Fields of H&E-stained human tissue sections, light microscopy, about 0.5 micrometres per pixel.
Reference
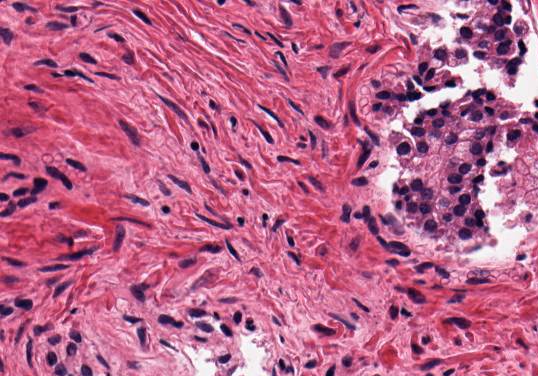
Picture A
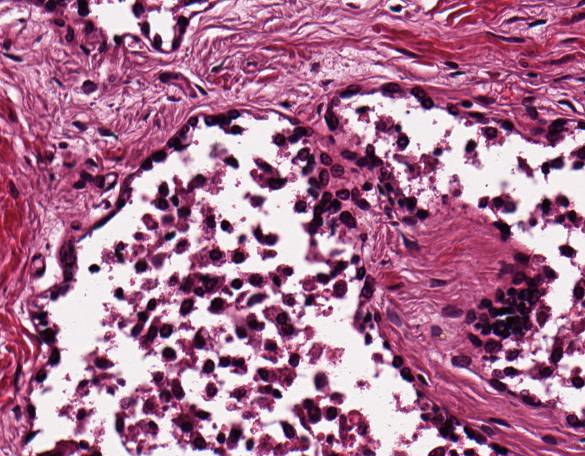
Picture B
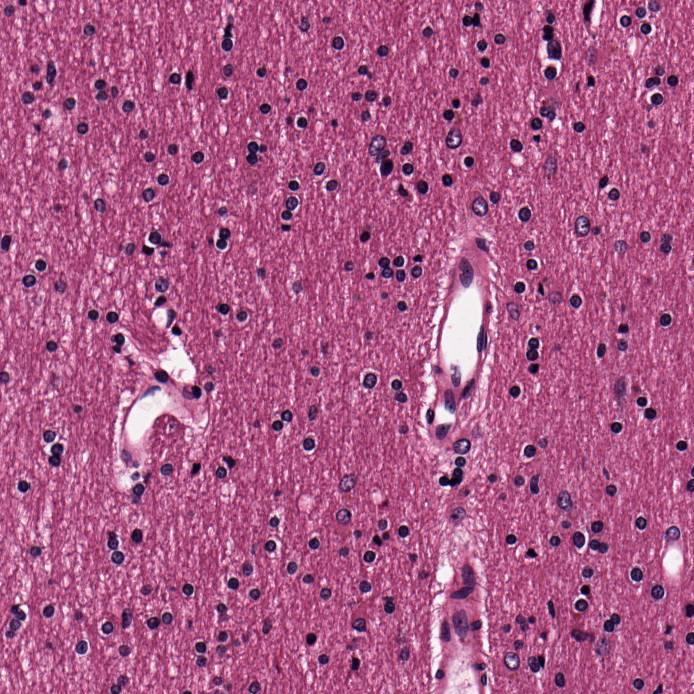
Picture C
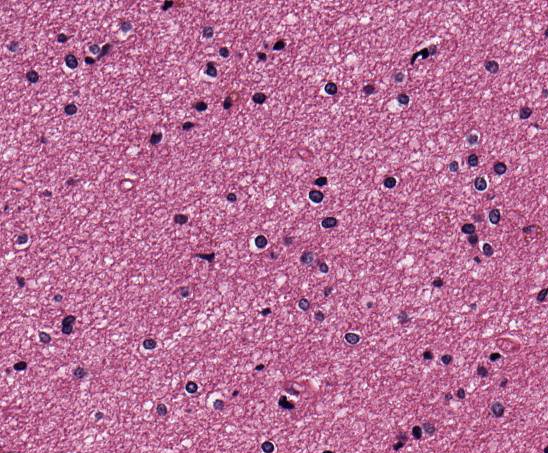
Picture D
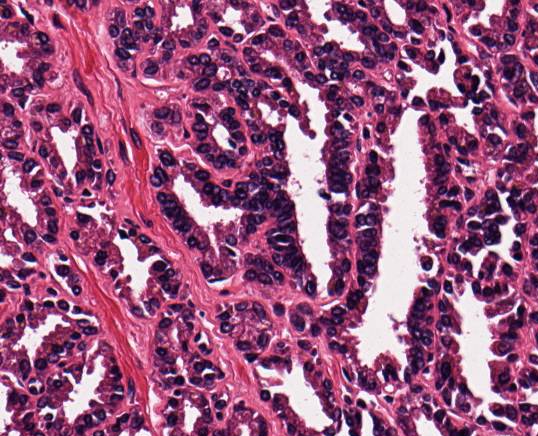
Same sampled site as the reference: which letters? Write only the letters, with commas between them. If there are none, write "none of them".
A, D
